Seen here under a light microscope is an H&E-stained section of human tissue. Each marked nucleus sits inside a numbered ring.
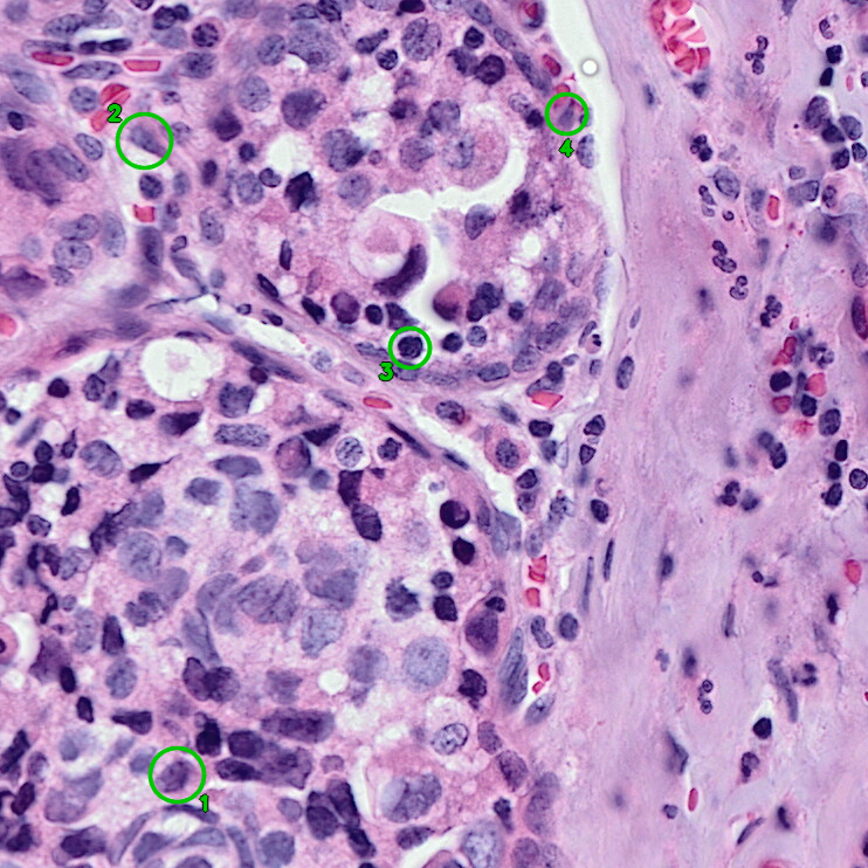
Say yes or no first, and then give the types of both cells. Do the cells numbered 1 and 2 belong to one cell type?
No, an endothelial cell is what cell 2 is, while cell 1 is a carcinoma cell.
